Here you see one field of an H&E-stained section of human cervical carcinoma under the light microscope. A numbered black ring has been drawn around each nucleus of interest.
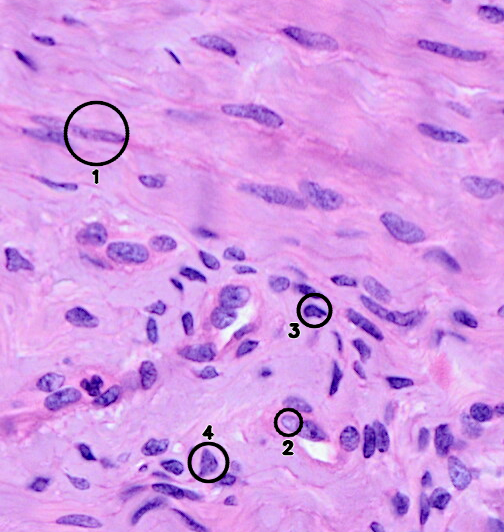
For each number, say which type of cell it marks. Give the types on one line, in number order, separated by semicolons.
smooth muscle cell; endothelial cell; fibroblast; fibroblast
